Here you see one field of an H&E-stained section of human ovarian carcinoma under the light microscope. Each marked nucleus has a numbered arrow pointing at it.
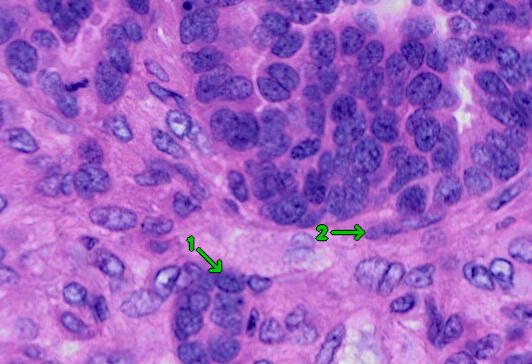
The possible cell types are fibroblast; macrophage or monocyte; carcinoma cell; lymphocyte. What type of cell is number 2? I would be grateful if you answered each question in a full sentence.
In the marked set, the cell given number 2 is a fibroblast.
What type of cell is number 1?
The label 1 in this section denotes a carcinoma cell.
